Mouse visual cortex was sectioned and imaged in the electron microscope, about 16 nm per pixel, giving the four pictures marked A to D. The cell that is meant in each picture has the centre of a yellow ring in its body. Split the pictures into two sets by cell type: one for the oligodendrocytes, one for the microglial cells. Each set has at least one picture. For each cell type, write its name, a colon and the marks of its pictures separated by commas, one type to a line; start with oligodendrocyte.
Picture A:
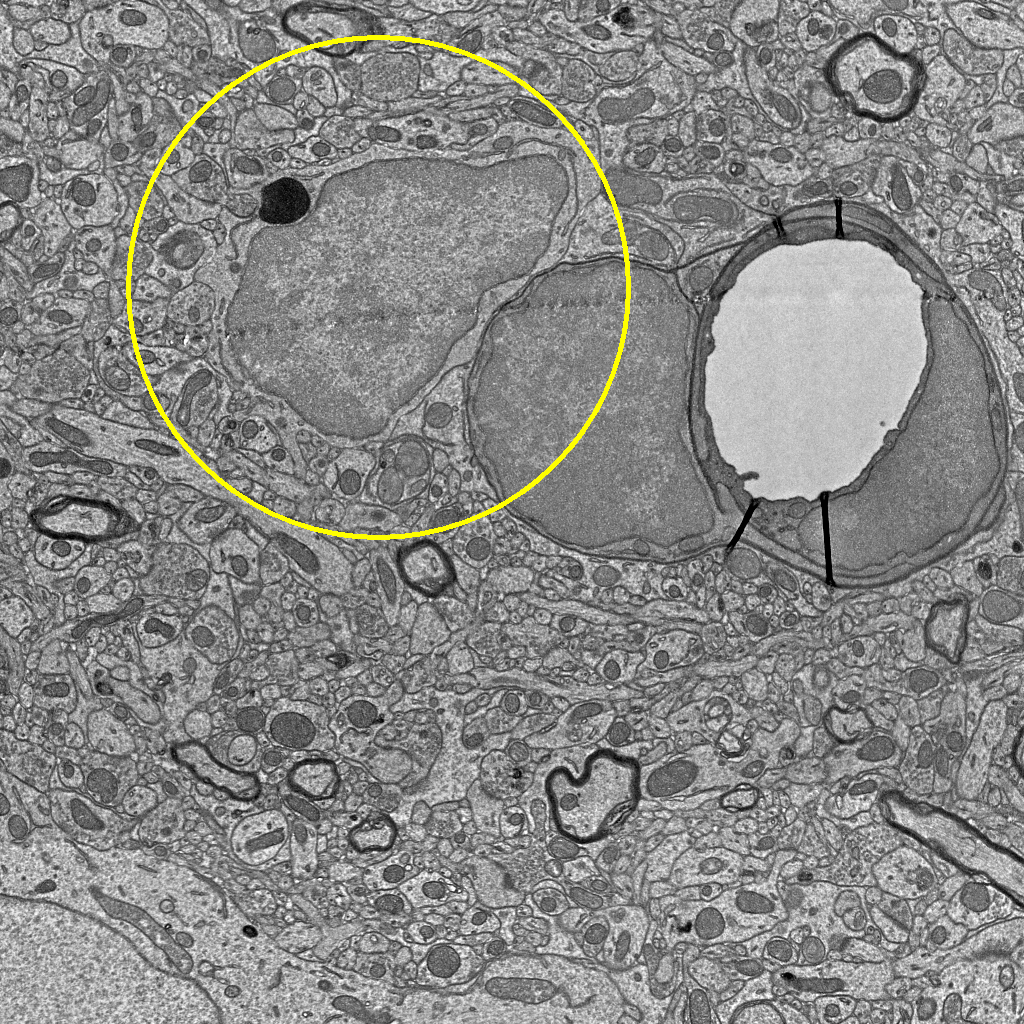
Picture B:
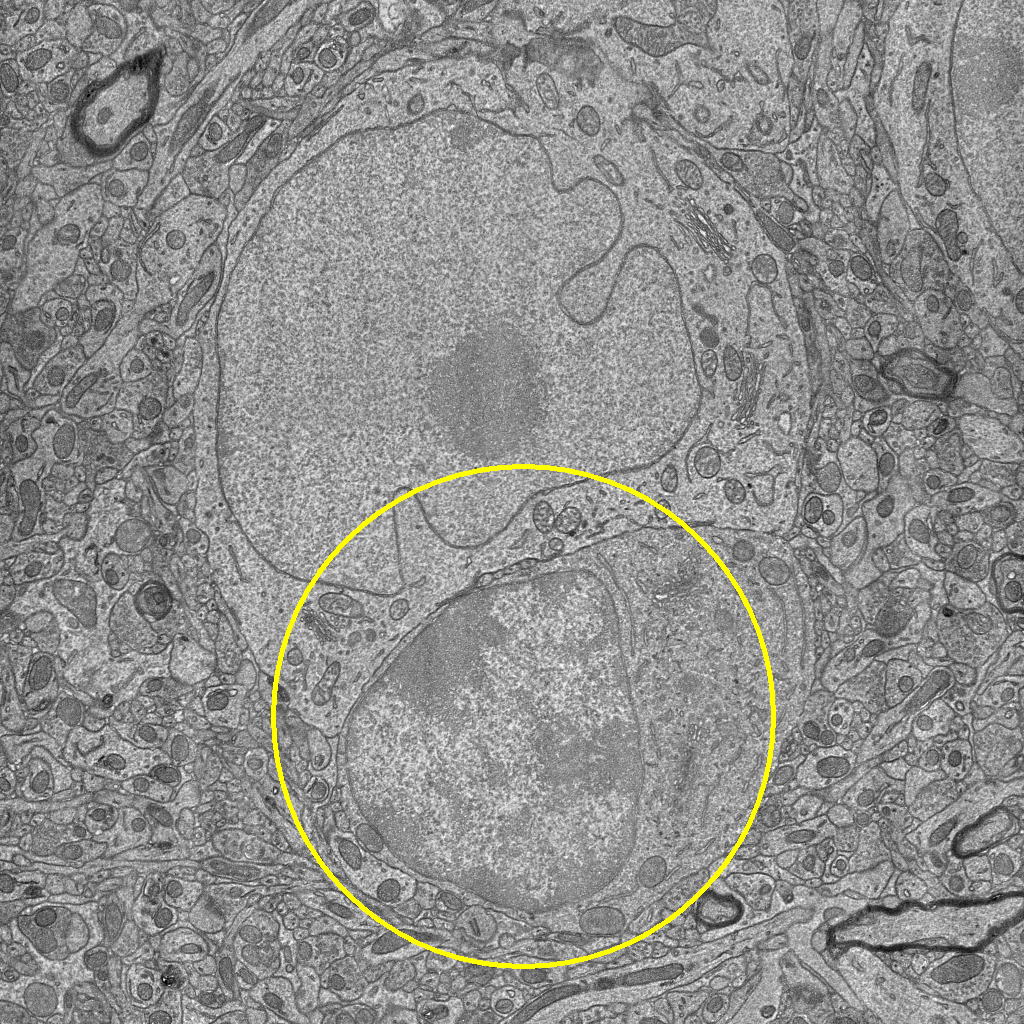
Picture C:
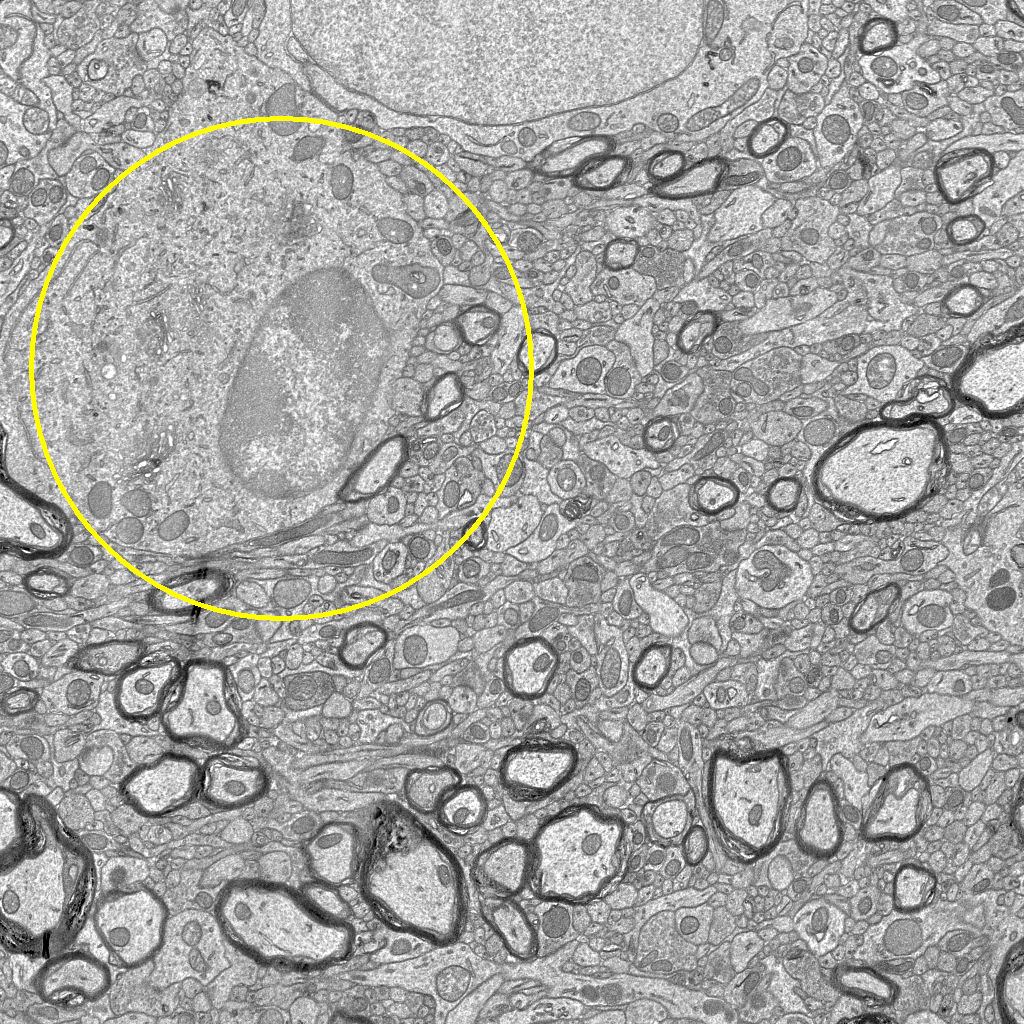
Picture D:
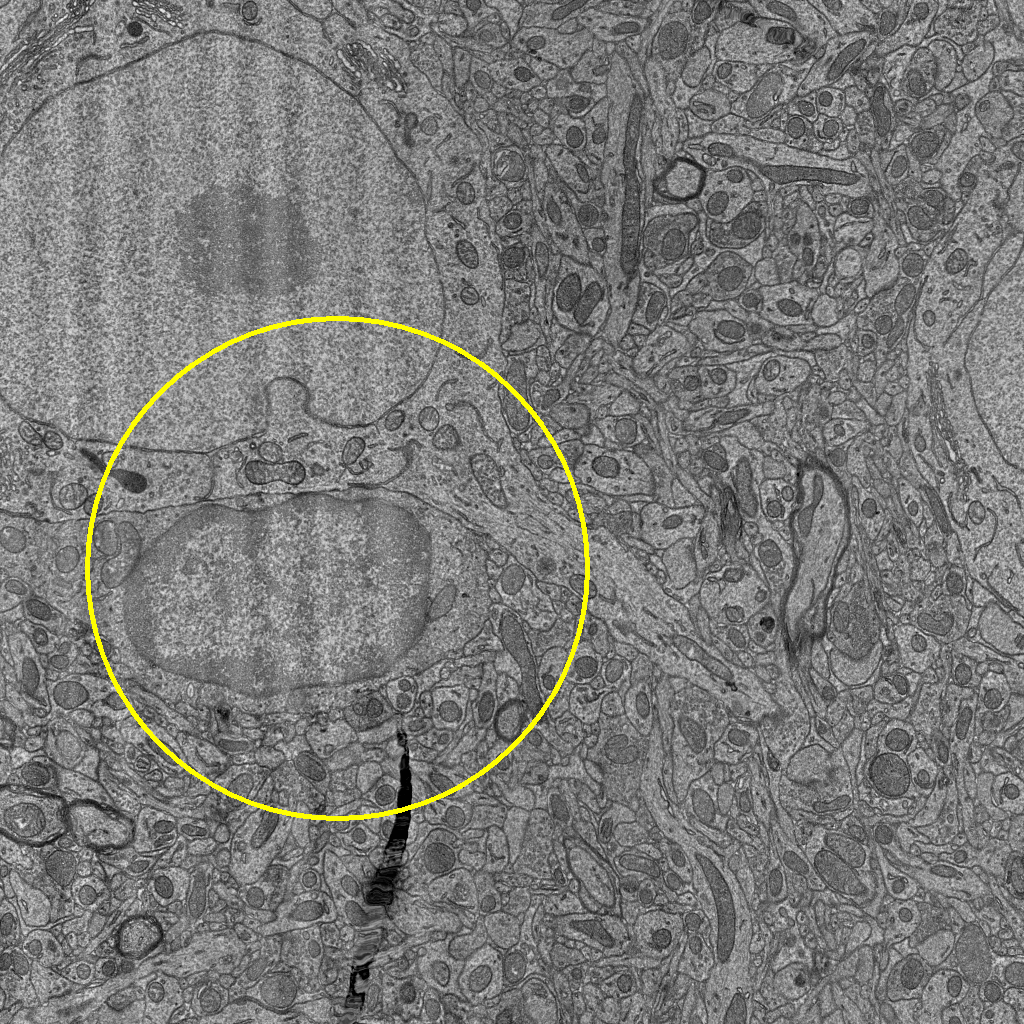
oligodendrocyte: B, C, D
microglial cell: A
